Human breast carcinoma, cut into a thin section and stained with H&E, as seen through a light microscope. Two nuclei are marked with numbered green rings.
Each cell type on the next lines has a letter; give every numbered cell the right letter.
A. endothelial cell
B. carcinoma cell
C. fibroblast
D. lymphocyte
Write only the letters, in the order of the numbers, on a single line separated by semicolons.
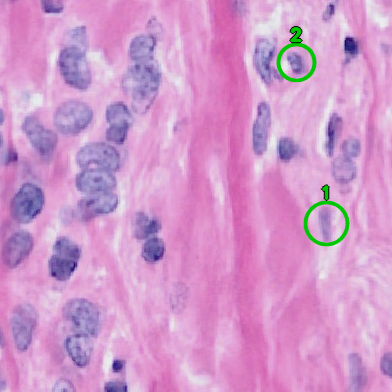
C; A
